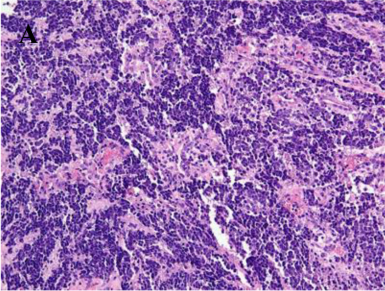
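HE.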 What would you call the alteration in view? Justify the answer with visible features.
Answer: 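Densely packed dark-staining tumor cells fill the field in sheets. Elongated cords and strands of cells run in parallel, separated by thin pink stroma.
Arranged in a diffuse-like, cable-like manner.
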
